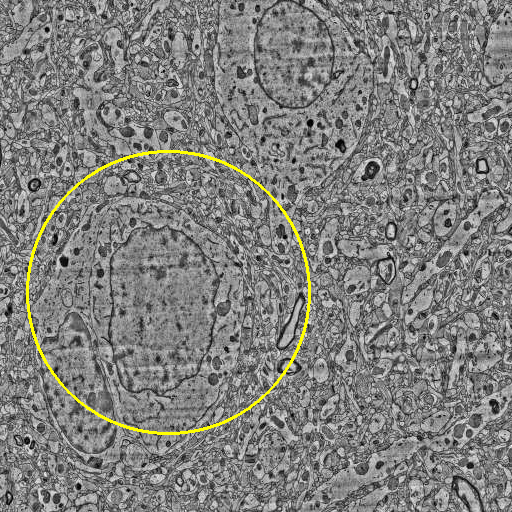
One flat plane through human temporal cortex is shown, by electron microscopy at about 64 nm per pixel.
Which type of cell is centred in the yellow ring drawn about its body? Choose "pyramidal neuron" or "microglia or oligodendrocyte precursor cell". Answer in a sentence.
The yellow ring surrounds the cell body of a pyramidal neuron.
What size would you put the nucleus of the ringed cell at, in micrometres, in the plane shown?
In this plane, approximately 11 by 7 micrometers, and clearly longer than it is wide.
